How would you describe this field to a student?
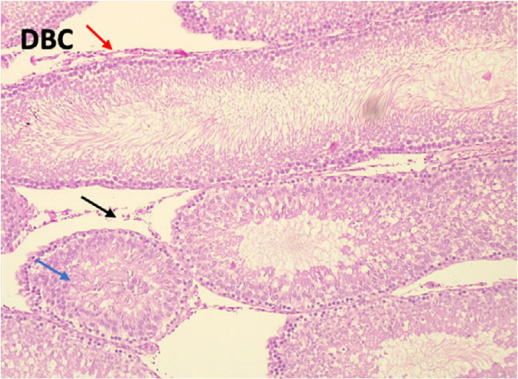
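Seminiferous tubules of the testis are seen, one cut lengthwise as a long band and others in cross-section, each lined by layers of purple-nucleated germ cells. The lengthwise tubule has a central lumen filled with pale pink fibrillar material running along its axis. At the upper edge of this tubule the outer boundary of the epithelium meets the surrounding space, and between tubules lie interstitial spaces with sparse cells.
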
